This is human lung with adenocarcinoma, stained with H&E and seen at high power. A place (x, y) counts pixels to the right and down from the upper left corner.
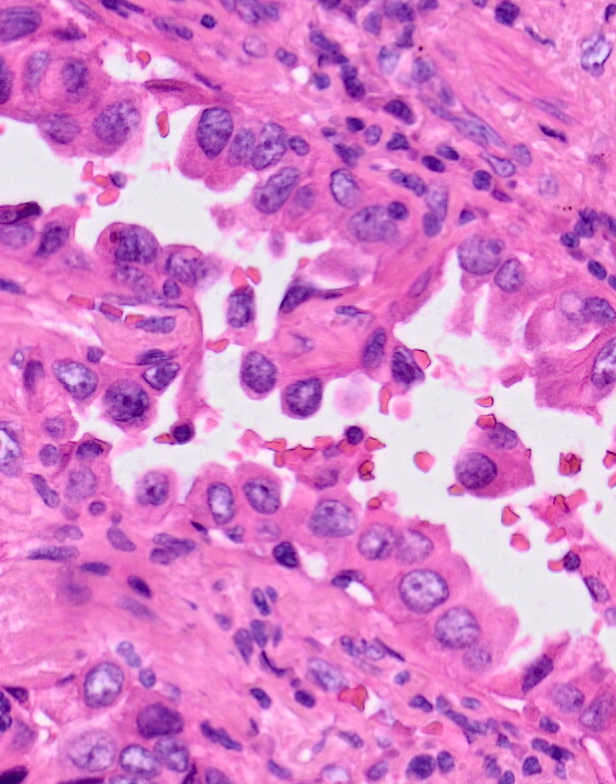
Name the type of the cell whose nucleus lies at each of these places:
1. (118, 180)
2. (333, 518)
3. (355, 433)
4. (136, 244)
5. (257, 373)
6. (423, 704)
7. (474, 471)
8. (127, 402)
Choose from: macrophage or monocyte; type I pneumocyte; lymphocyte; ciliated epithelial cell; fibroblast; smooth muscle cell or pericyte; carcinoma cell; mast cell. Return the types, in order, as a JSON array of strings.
["lymphocyte", "carcinoma cell", "lymphocyte", "carcinoma cell", "carcinoma cell", "lymphocyte", "carcinoma cell", "carcinoma cell"]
